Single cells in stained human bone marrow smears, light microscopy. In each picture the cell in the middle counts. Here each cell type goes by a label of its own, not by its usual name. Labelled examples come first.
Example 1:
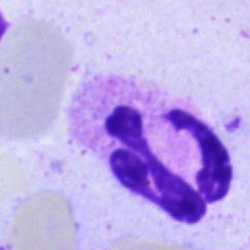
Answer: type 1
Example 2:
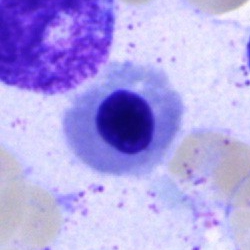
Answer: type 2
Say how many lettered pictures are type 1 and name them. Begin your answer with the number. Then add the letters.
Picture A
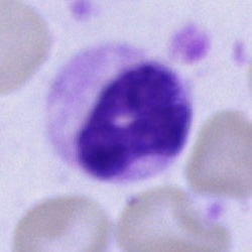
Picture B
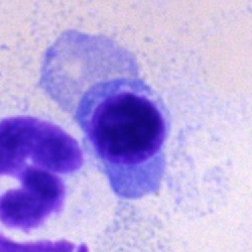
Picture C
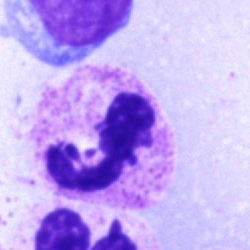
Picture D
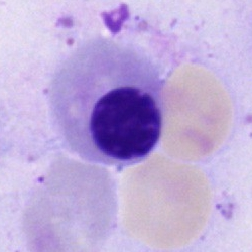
2: A, C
